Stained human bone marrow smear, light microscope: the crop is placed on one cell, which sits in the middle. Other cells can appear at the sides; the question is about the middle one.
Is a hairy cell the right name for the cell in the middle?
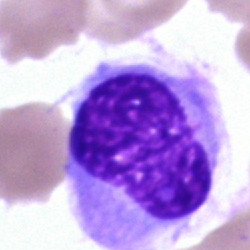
yes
